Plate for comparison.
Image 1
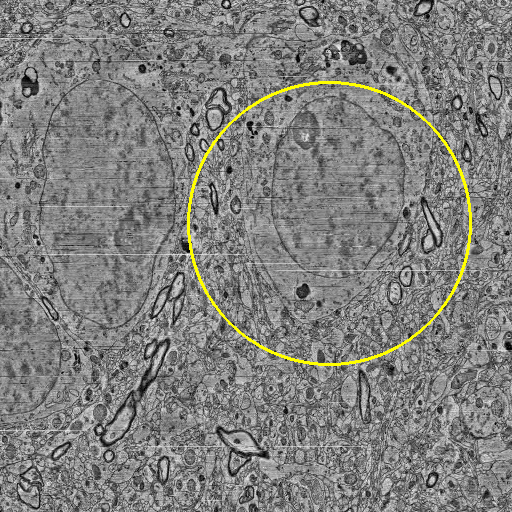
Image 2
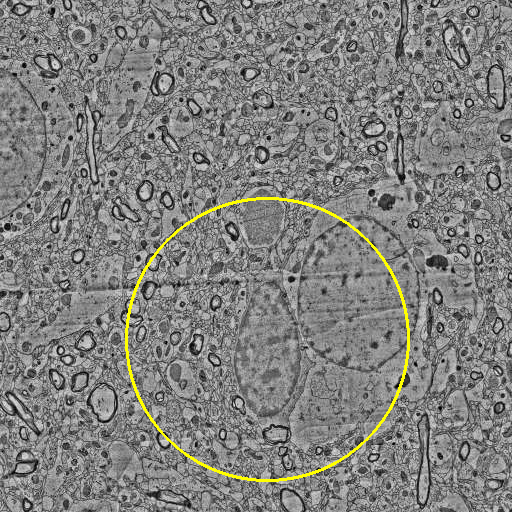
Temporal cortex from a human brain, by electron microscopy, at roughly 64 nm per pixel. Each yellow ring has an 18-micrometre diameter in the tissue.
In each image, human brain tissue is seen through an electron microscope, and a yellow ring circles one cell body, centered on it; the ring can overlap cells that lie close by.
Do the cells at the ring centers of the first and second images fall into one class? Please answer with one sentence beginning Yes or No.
No, the first and second images show two classes of cell at the ring centers.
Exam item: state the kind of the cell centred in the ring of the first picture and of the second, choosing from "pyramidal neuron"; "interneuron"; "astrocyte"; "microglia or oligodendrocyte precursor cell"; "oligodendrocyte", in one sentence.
The first picture shows a pyramidal neuron at the ring centre and the second shows an oligodendrocyte.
